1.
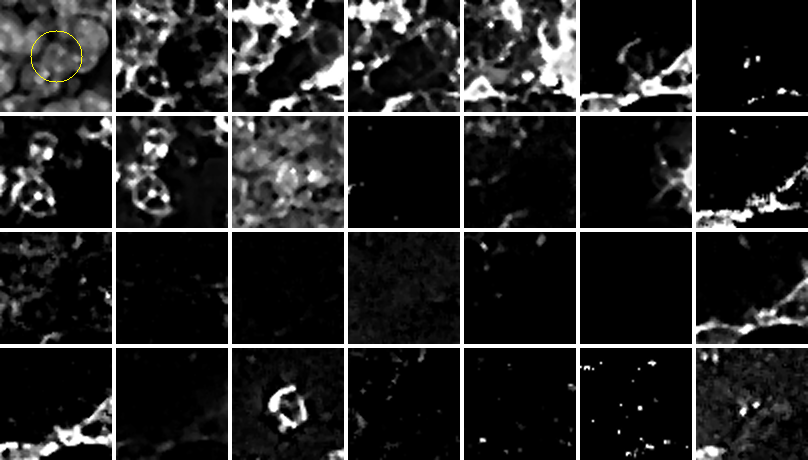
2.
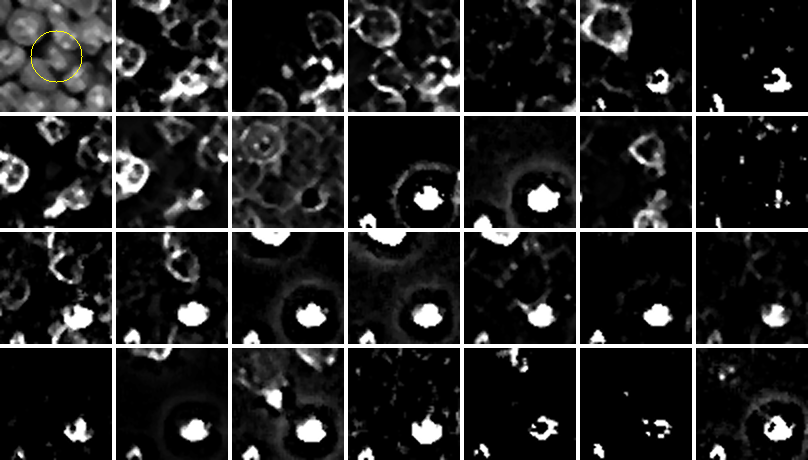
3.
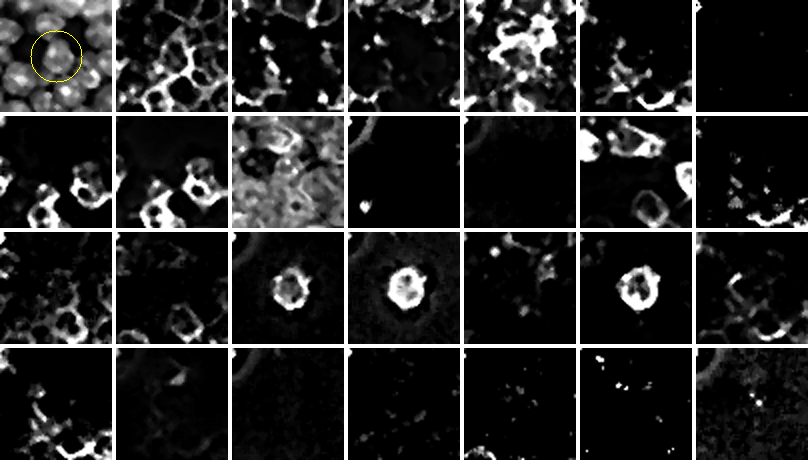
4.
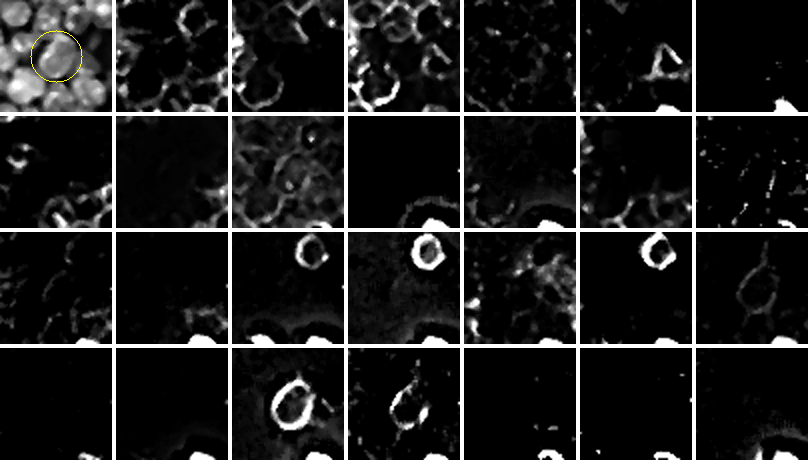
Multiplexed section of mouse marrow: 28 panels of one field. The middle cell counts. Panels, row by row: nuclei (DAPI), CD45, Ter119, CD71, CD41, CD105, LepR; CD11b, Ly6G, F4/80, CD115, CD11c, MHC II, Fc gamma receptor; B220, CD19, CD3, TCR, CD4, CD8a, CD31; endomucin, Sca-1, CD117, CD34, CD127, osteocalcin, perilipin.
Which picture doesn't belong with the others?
Picture 3.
